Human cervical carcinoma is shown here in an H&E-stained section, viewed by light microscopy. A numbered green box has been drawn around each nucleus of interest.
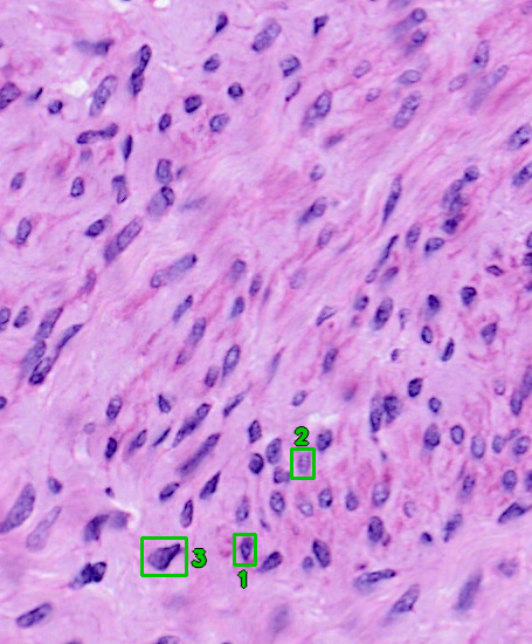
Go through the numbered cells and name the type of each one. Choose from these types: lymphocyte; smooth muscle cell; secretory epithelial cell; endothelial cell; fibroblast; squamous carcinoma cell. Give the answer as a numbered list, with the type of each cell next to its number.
1. smooth muscle cell
2. smooth muscle cell
3. fibroblast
